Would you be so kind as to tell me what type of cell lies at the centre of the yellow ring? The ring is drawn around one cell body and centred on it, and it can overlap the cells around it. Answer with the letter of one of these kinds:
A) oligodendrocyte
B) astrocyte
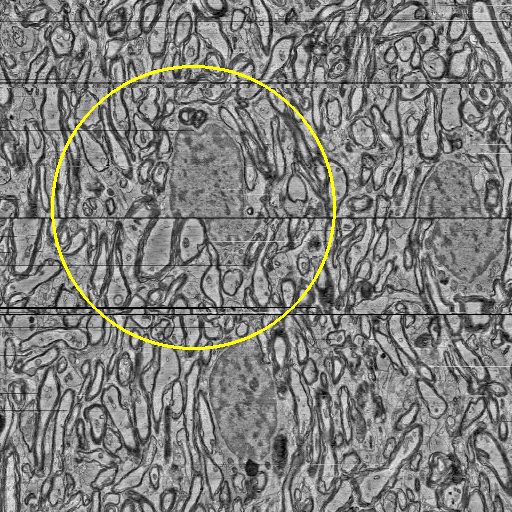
A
